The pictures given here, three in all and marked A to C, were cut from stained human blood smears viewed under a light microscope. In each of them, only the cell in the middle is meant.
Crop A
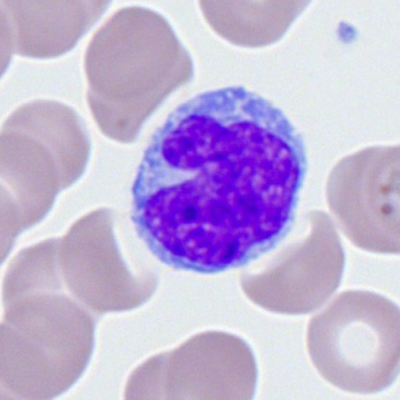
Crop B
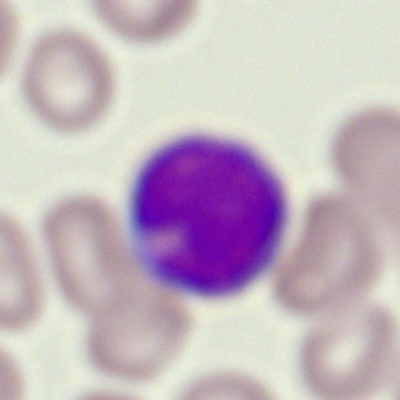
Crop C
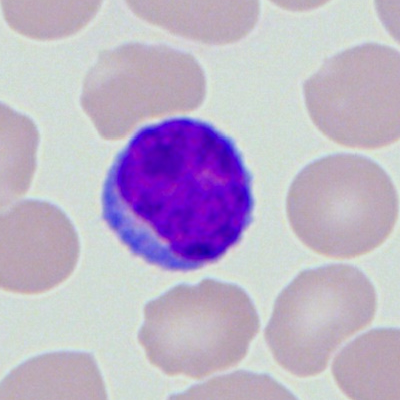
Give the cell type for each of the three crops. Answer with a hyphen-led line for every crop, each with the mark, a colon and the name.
- A: monocyte
- B: myeloblast
- C: lymphocyte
